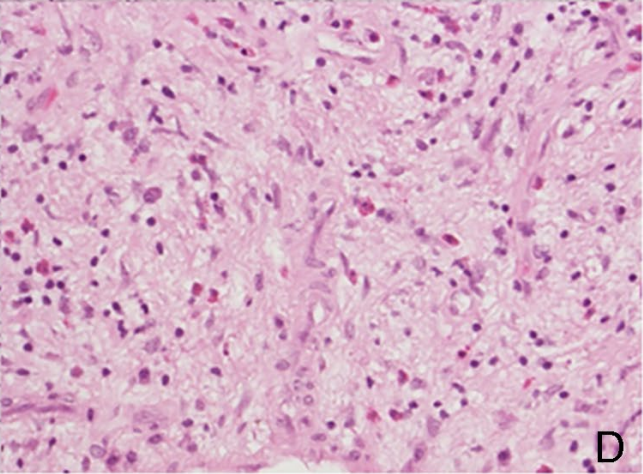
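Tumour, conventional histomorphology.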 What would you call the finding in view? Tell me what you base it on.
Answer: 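Many small round dark nuclei and red granular cells are dispersed between the spindle cells. The answer: inflammatory infiltrate.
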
